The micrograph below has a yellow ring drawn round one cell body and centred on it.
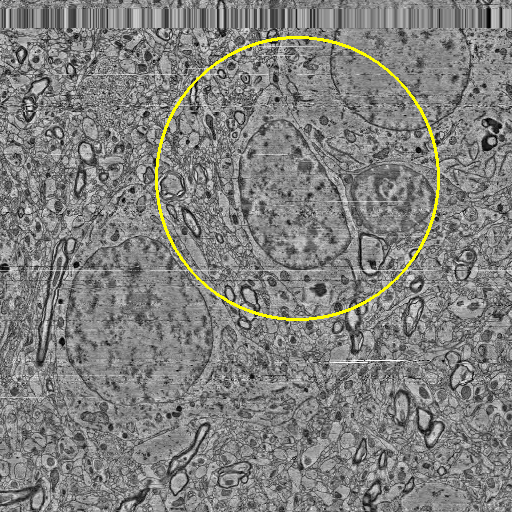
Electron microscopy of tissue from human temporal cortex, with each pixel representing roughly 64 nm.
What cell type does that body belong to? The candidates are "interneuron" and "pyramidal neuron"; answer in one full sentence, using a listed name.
This is an interneuron, the cell whose body lies at the centre of the ring.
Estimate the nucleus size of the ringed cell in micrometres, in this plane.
In this plane the nucleus is clearly longer than it is wide, at approximately 10 by 6 micrometres.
